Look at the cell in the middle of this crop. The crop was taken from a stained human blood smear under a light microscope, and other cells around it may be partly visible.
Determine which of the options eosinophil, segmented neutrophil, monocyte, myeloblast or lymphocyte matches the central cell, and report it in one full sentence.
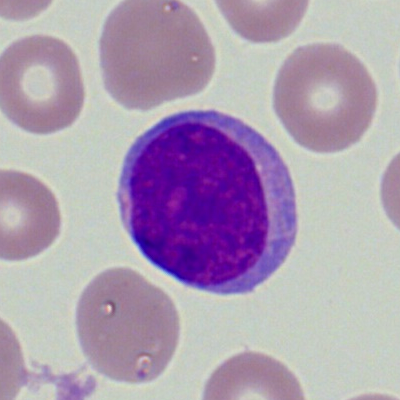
The central cell, amid any neighbouring cells, is a myeloblast.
